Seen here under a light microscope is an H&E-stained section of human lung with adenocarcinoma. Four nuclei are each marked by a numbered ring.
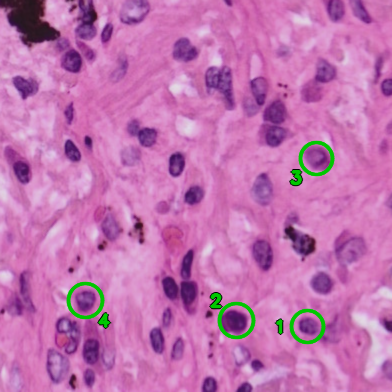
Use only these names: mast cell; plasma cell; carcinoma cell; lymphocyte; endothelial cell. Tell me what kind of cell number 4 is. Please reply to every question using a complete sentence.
The cell indicated by marker 4 is a mast cell in this section.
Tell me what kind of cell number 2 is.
The mark numbered 2 indicates the nucleus of a plasma cell.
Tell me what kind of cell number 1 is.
Heads up, the cell numbered 1 is a lymphocyte.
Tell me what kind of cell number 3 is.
Cell 3, among those numbered, is a plasma cell.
